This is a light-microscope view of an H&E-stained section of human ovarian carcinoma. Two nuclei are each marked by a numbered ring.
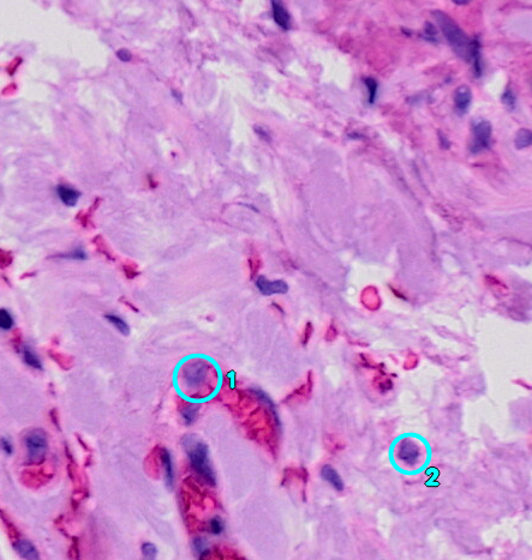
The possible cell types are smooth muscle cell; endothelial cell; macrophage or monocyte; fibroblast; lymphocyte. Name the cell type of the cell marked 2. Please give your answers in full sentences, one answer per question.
Cell 2 in the field is a macrophage or monocyte.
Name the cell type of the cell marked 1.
The numbered cell 1 is identified here as an endothelial cell.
